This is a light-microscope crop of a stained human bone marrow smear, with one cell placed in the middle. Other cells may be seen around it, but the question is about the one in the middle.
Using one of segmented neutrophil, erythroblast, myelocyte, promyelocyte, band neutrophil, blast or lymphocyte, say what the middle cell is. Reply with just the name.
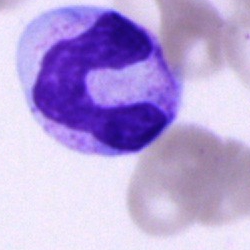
band neutrophil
